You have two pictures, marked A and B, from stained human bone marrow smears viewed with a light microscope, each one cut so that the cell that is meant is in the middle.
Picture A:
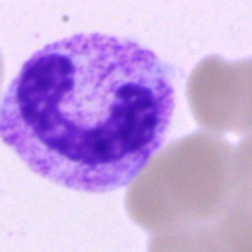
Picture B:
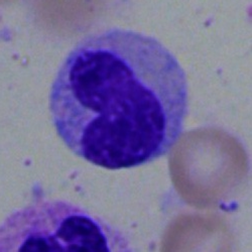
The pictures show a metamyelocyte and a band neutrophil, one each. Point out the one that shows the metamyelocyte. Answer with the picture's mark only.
B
